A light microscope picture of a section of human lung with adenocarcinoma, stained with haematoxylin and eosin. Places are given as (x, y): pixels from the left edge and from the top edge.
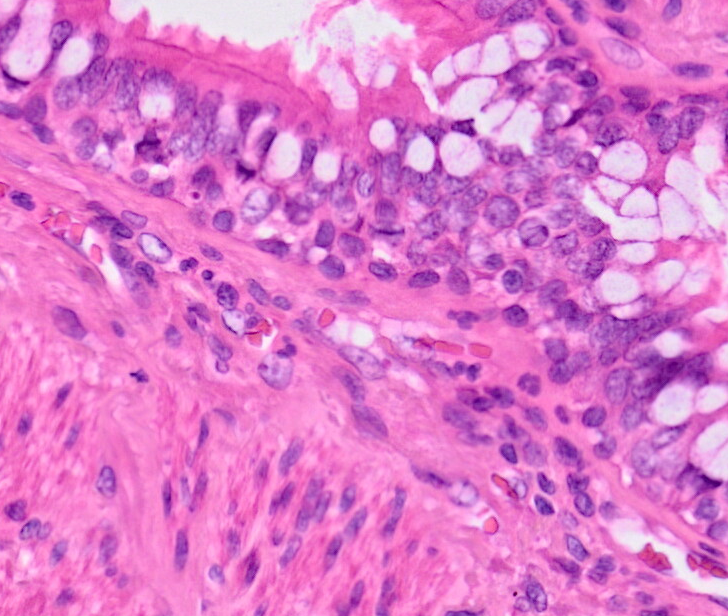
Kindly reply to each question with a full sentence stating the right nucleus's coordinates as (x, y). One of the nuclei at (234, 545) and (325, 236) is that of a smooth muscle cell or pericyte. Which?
Assigned to a smooth muscle cell or pericyte is the nucleus located at (234, 545).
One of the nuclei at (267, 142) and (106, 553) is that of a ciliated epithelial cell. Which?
Of the two nuclei, that at (267, 142) is the nucleus of a ciliated epithelial cell.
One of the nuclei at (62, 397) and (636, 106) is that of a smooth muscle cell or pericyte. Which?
Between the two nuclei, the one sitting at (62, 397) belongs to a smooth muscle cell or pericyte.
